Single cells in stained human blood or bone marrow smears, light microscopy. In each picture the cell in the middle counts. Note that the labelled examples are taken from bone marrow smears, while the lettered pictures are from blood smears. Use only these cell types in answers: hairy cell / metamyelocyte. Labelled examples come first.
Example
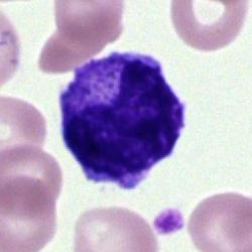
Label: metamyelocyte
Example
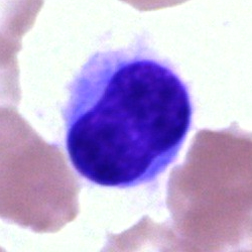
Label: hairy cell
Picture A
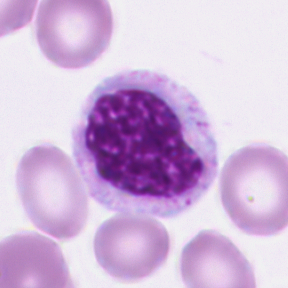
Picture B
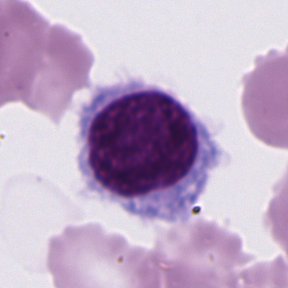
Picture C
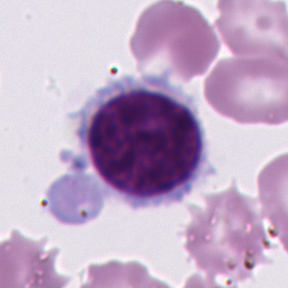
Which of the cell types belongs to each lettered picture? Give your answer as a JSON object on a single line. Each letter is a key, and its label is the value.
{"A": "metamyelocyte", "B": "hairy cell", "C": "hairy cell"}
